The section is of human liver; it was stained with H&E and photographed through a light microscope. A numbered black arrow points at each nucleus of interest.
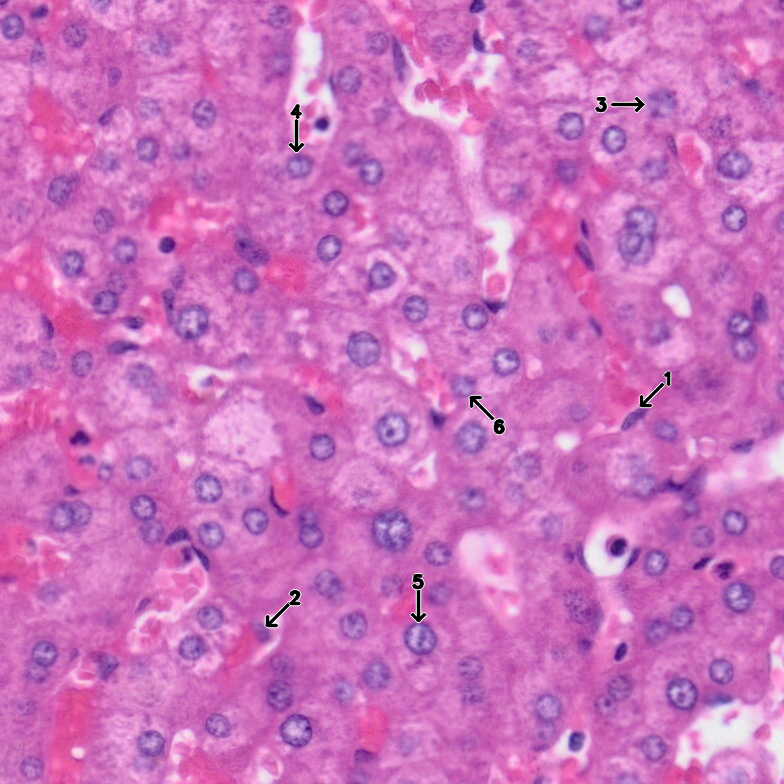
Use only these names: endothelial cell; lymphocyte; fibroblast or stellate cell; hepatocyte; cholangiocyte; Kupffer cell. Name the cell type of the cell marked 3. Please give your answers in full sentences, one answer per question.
The label 3 in this section denotes a hepatocyte.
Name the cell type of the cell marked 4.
The cell with the number 4 is a hepatocyte.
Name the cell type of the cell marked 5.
At number 5, the marked cell is a hepatocyte.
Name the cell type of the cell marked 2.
Cell 2, as marked in the section, is a Kupffer cell.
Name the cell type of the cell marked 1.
Number 1 is placed on an endothelial cell here.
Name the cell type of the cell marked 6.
The cell to which the number 6 is assigned is a hepatocyte.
